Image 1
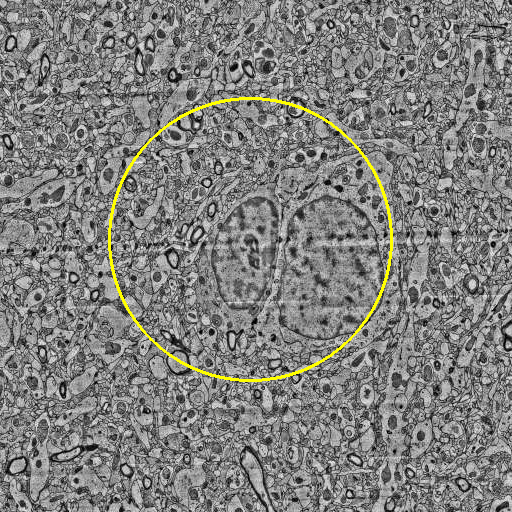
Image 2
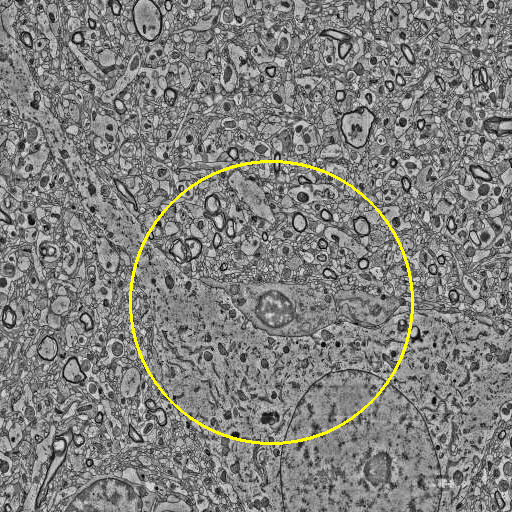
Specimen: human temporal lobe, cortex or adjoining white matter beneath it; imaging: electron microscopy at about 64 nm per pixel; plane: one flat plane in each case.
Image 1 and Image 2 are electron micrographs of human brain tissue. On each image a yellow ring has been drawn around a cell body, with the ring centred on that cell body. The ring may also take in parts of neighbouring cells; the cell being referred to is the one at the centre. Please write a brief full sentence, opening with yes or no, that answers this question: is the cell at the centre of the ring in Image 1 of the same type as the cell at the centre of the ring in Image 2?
Yes, both cells are of the same type.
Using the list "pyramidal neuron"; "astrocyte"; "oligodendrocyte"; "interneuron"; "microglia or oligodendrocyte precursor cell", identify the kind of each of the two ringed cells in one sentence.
The second cell is an oligodendrocyte, just as the first is.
